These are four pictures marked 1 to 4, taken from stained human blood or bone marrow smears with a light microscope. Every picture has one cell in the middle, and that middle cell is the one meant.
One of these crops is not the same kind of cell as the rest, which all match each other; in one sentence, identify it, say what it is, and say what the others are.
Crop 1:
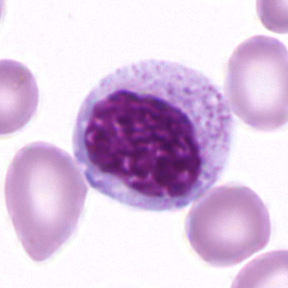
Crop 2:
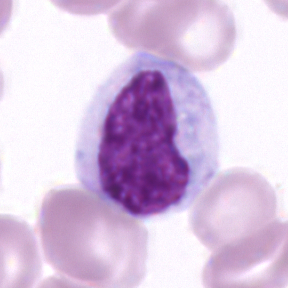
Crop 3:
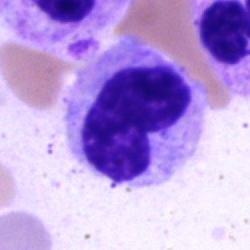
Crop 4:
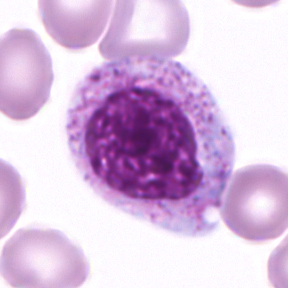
Crop 4 alone shows a myelocyte; the other crops are all metamyelocytes.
